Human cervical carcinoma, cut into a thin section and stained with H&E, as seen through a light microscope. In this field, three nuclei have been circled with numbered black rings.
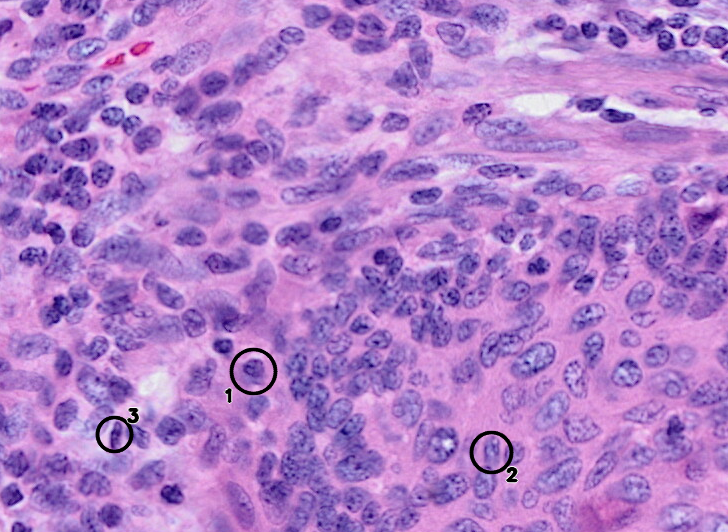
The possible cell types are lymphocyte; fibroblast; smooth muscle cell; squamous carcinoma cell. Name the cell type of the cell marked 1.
squamous carcinoma cell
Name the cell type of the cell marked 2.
squamous carcinoma cell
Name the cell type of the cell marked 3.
lymphocyte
